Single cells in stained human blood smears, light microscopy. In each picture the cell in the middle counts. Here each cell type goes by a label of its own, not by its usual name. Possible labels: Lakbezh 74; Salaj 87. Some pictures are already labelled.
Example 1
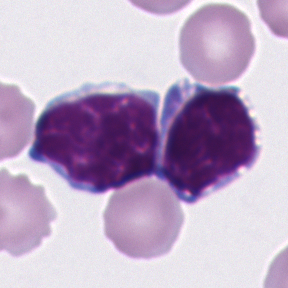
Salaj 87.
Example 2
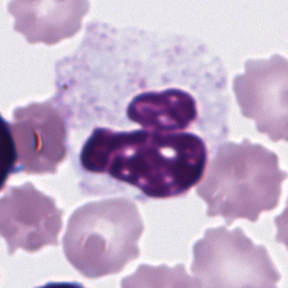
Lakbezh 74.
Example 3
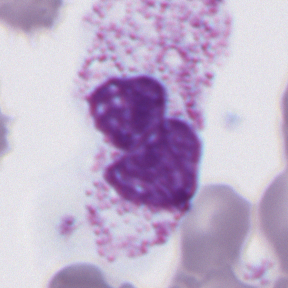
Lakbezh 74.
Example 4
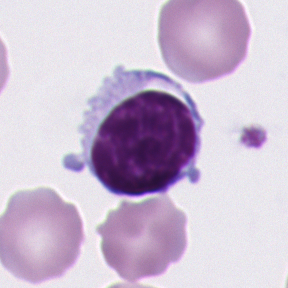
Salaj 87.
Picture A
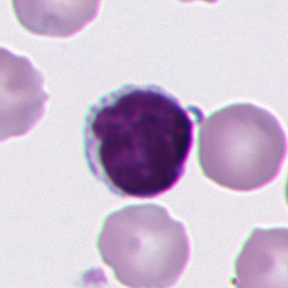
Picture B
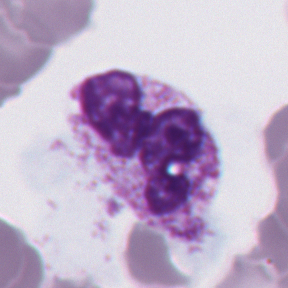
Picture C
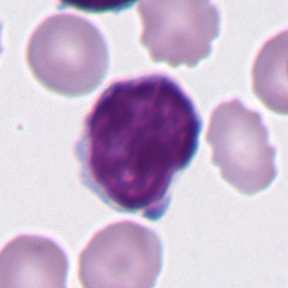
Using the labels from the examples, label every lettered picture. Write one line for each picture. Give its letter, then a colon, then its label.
A: Salaj 87.
B: Lakbezh 74.
C: Salaj 87.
